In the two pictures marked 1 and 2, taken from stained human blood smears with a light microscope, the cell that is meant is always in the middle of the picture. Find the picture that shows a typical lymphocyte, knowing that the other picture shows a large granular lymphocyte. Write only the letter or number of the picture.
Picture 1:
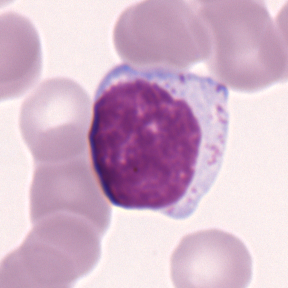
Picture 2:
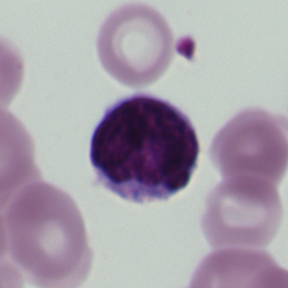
2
